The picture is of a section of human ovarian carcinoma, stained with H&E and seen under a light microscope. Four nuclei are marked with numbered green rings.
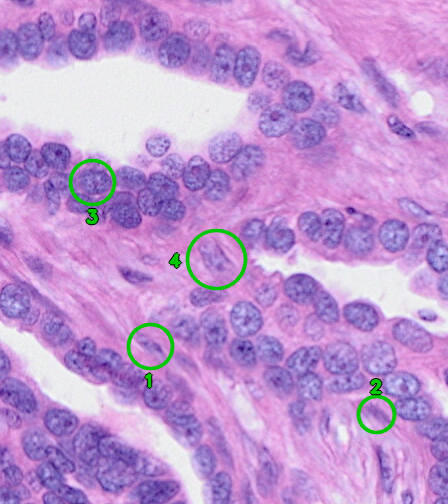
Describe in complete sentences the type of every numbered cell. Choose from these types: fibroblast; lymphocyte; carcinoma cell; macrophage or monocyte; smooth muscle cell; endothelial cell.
Cell 1 is a fibroblast, cell 2 is a fibroblast, cell 3 is a carcinoma cell and cell 4 is a fibroblast.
